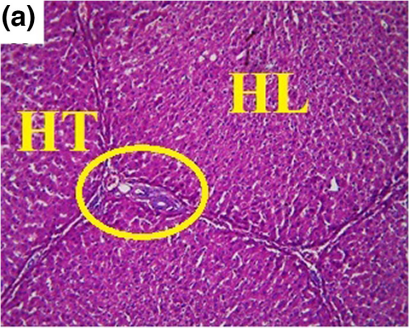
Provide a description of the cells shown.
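Liver tissue with regular lobules of pink hepatocytes arranged in plates separated by narrow sinusoids, each cell with a round dark nucleus. Thin connective tissue septa outline the lobules, and at one junction of septa a small portal triad with vessel and duct profiles is seen. No infiltrates or blood-filled spaces are present.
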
